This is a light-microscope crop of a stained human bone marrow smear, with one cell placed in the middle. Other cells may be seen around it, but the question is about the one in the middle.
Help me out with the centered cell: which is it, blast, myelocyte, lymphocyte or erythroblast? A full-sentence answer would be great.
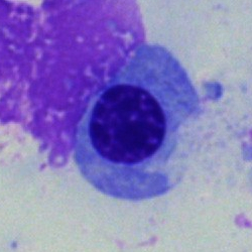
By classification, the middle cell of this crop is an erythroblast.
